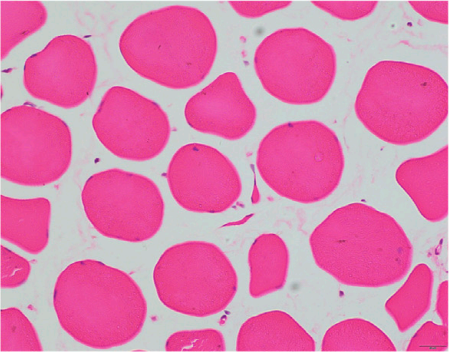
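Skeletal muscle in cross-section shows deeply pink-stained muscle fibers that are rounded rather than polygonal and vary clearly in diameter. The fibers lie apart from one another, separated by wide pale spaces, with a few small dark nuclei scattered between and at the margins of the fibers.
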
